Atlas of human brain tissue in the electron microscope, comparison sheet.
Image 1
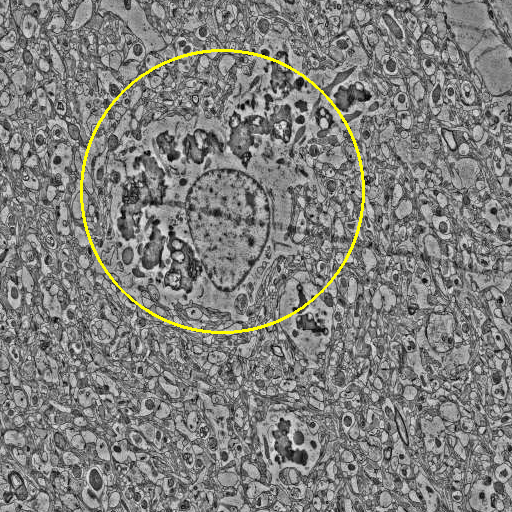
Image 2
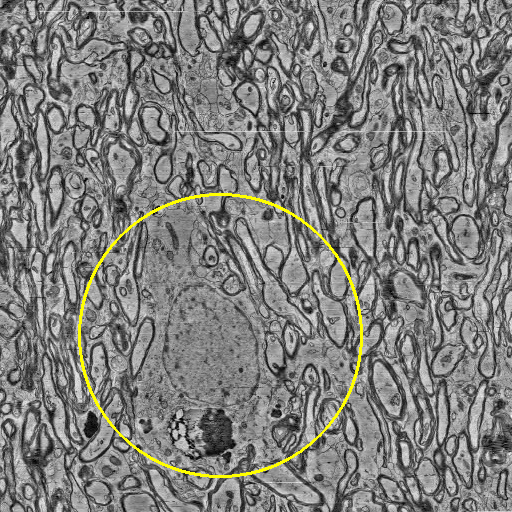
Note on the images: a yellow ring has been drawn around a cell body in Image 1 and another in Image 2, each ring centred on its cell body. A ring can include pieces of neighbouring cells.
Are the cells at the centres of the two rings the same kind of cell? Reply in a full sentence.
Yes, both cells are of the same kind.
